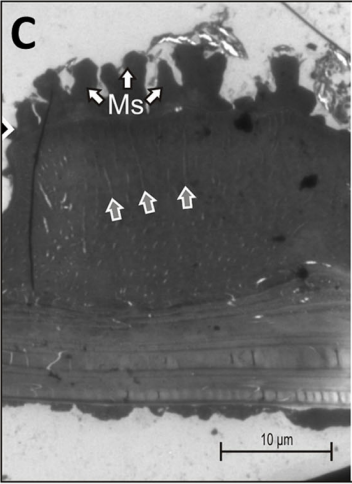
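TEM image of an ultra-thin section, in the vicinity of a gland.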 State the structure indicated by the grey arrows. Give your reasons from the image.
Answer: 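Thin, faint lines run roughly vertically through the thick middle layer. The arrows point at these lines within the thick layer below the surface projections.
Small channels.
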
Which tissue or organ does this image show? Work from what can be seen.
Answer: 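The section is built of distinct horizontal layers. A thick, fairly uniform dark layer lies above a thinner layer of fine stacked bands. The upper surface carries short projections.
Conclusion: cuticula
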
